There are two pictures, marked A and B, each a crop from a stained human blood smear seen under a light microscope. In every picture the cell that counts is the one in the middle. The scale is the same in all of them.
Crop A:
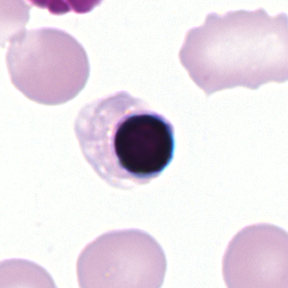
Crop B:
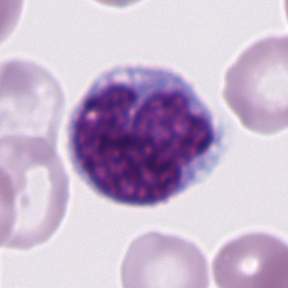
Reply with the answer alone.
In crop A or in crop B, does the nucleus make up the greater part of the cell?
B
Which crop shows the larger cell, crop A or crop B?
B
